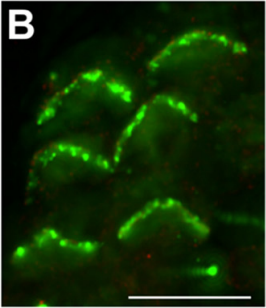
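Several green dotted lines bent into V or crescent shapes lie in staggered rows across a faint greenish background. Each line is made of fine beads lined up closely, and the shapes repeat with similar size and orientation. Only a few faint red specks are seen and no nuclei lie in the field. The repeating V-shaped rows fit the hair bundles of cochlear outer hair cells, so the green marks their stereocilia.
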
